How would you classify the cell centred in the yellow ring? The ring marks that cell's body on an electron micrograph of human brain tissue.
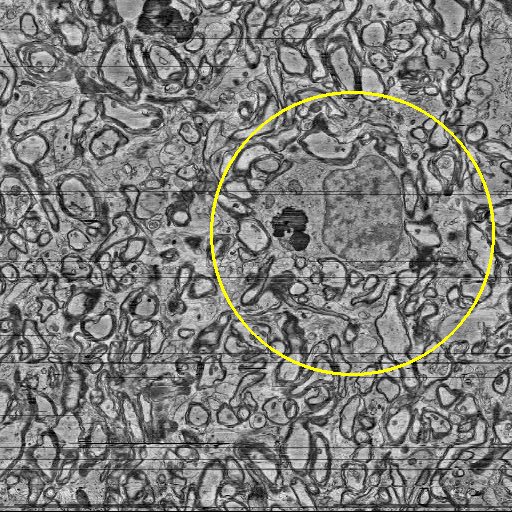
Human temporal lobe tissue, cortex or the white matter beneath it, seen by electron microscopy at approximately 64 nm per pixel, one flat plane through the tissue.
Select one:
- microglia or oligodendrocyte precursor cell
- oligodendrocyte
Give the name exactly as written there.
oligodendrocyte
